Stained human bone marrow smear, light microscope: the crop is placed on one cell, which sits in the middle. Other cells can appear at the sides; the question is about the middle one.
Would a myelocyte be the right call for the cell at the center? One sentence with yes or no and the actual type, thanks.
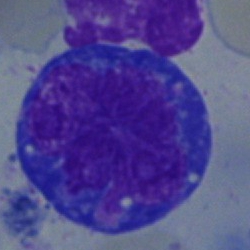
No, the cell in the centre is a blast instead of a myelocyte.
